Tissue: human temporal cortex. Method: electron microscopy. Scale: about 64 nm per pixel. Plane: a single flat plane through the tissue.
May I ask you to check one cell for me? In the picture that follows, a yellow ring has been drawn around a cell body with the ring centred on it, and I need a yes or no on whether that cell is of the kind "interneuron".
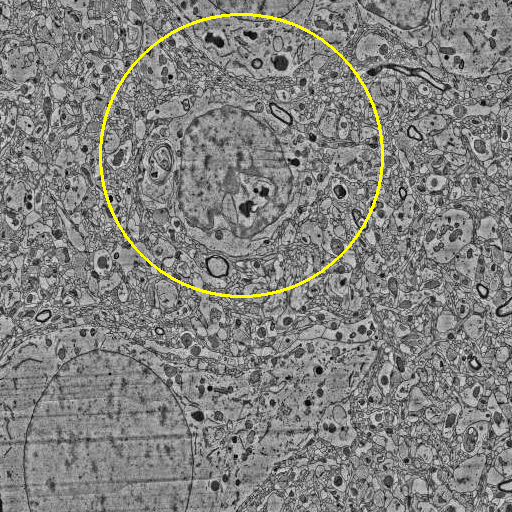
Yes, it is that kind of cell.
